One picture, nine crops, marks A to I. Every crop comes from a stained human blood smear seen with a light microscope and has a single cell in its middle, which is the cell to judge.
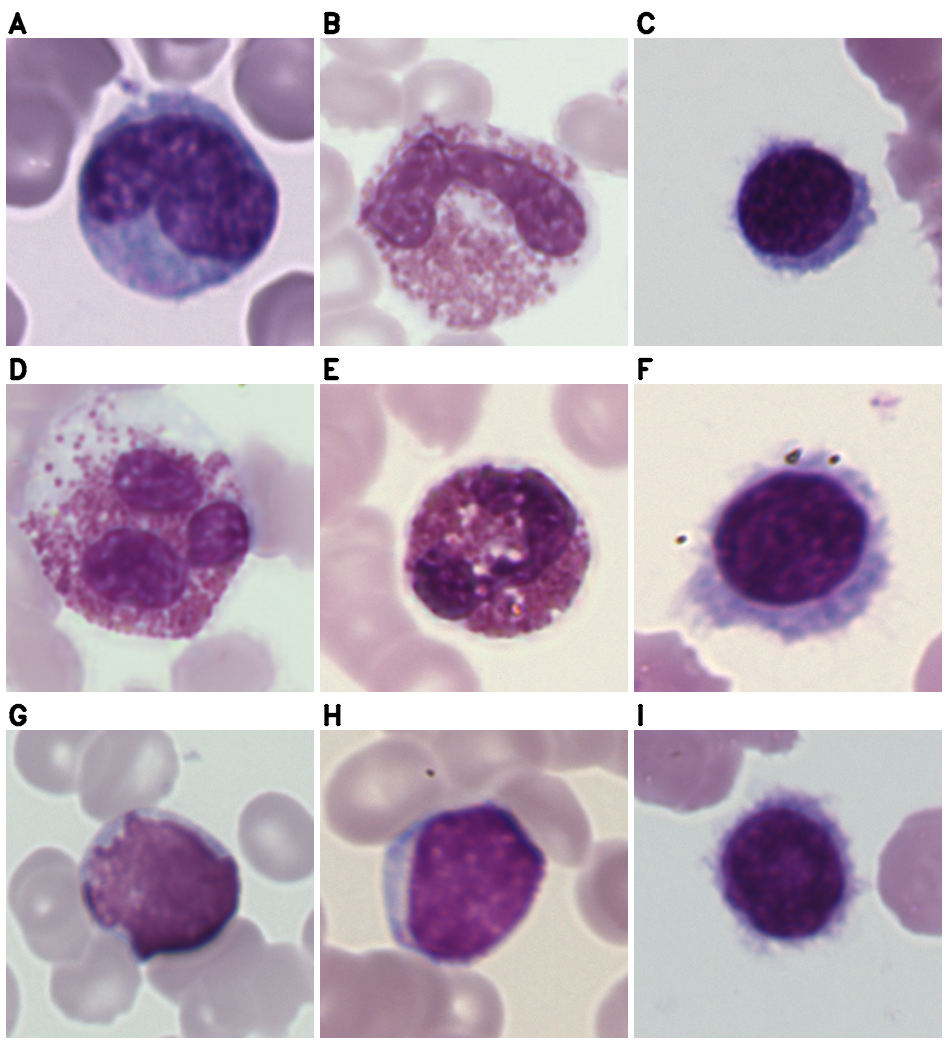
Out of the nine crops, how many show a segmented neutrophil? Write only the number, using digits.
0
